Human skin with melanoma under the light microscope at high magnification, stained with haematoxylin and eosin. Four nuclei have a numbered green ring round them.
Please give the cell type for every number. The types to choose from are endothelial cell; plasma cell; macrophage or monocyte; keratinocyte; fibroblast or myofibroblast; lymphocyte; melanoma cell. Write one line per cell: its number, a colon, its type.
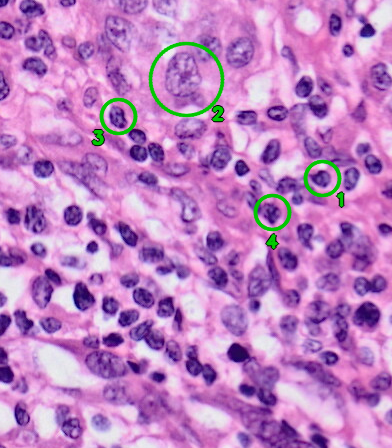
1: lymphocyte
2: melanoma cell
3: lymphocyte
4: lymphocyte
